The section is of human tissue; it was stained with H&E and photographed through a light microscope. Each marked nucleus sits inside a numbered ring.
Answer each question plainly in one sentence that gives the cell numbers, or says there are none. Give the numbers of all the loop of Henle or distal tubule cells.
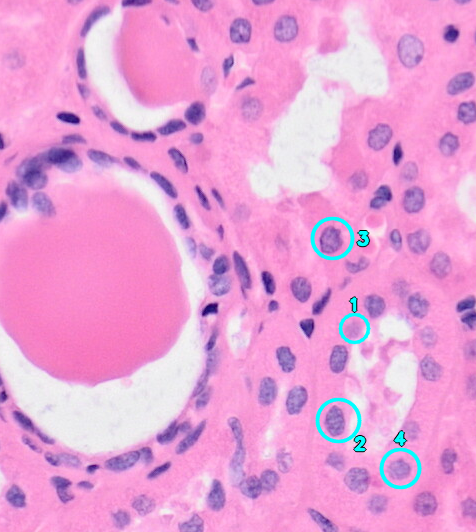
The cells marked with the numbers 1, 2 and 4 are loop of Henle or distal tubule cells.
